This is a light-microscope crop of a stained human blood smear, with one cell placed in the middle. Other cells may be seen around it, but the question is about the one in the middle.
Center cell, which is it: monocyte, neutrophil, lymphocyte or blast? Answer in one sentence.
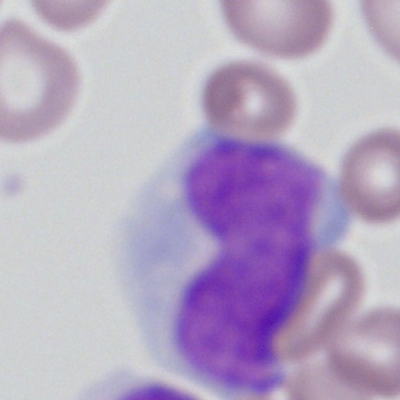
As for the cell in the middle, it is a monocyte.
